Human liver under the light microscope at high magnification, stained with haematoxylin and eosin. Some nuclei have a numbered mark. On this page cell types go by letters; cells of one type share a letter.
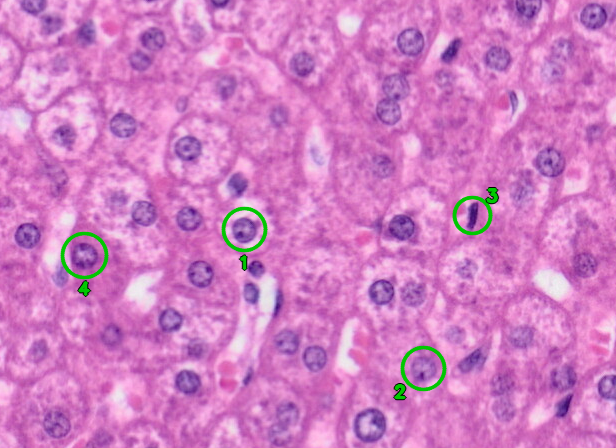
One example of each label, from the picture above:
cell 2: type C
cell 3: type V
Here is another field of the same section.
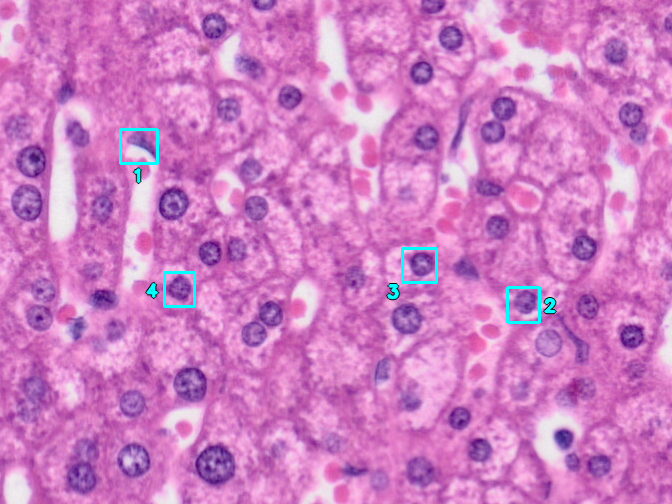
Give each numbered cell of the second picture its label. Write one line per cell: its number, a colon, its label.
1: type V
2: type C
3: type C
4: type C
